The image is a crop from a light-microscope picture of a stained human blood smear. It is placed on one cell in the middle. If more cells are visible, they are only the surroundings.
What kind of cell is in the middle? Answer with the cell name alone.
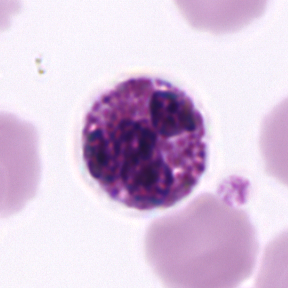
eosinophil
